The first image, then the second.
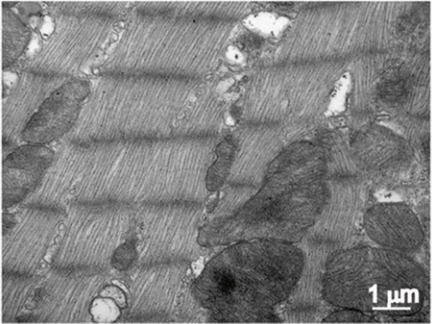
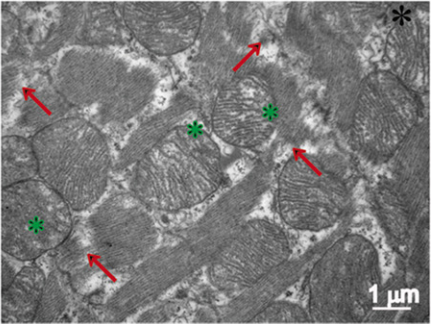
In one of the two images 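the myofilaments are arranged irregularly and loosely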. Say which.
The second image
